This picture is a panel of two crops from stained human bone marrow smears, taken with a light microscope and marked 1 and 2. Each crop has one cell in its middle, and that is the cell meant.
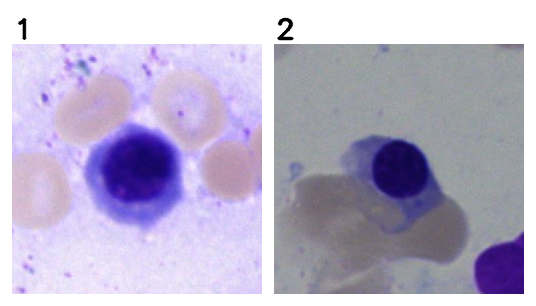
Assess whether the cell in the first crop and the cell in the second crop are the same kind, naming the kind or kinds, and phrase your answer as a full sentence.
Yes, erythroblasts are what the two crops show.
